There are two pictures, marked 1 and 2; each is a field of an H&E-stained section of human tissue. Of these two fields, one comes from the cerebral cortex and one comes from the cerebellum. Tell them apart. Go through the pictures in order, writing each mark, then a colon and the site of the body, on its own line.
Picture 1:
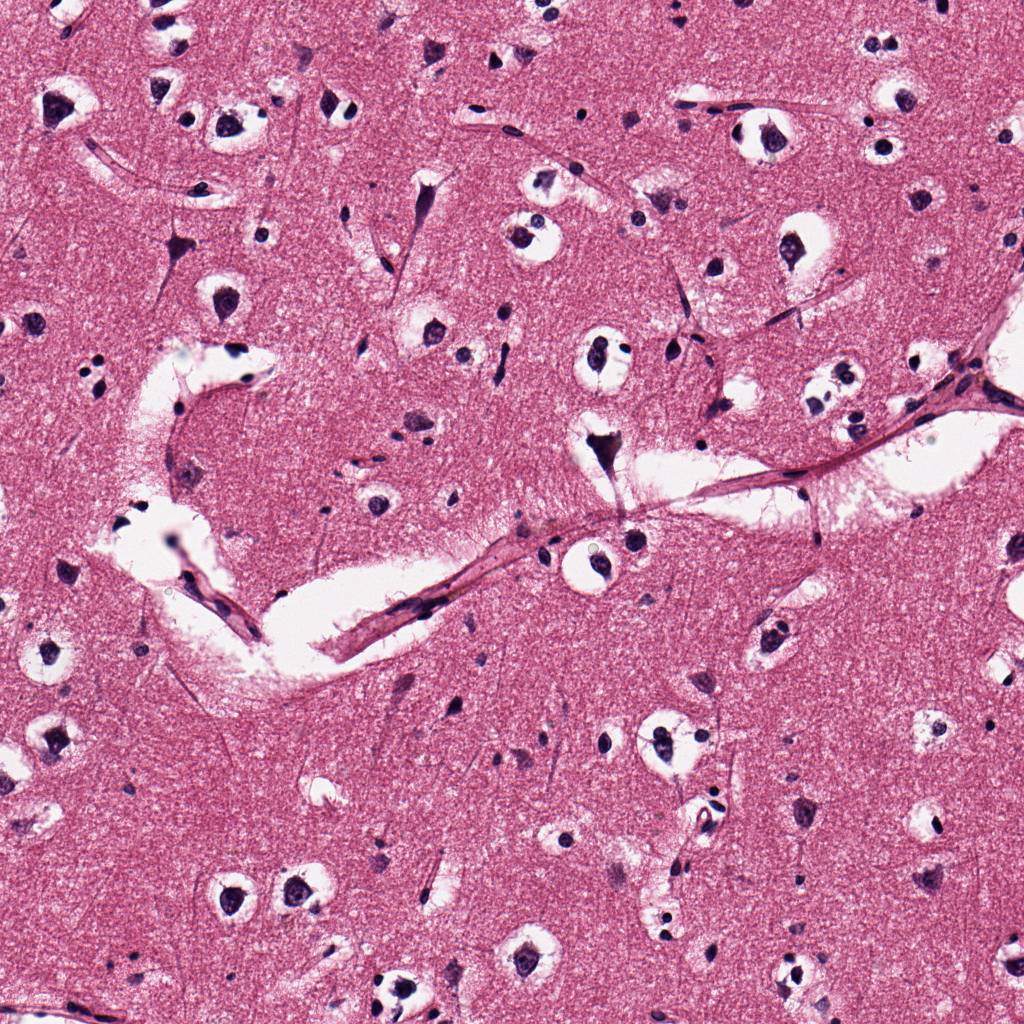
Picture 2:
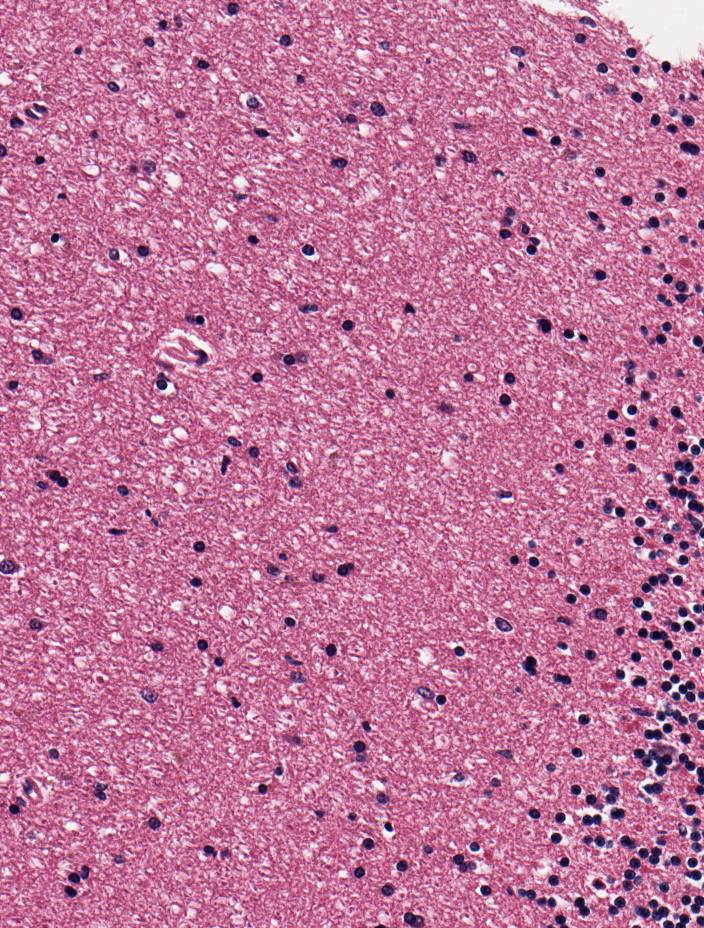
1: cerebral cortex
2: cerebellum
